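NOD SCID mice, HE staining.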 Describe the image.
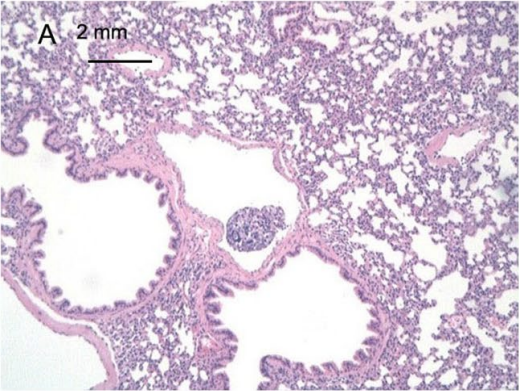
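Lung tissue with many thin-walled alveolar spaces separated by delicate pink septa holding small dark nuclei. Several airways lined by a folded epithelium lie near a thin-walled small vessel, whose lumen contains a rounded clump of densely packed, dark-nucleated cells.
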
